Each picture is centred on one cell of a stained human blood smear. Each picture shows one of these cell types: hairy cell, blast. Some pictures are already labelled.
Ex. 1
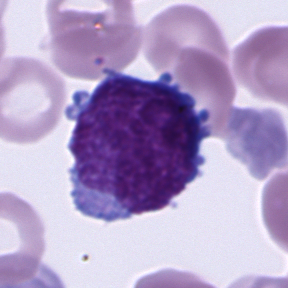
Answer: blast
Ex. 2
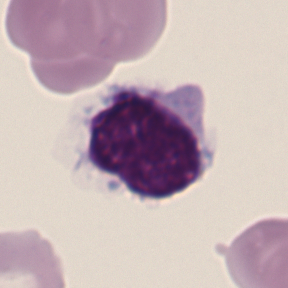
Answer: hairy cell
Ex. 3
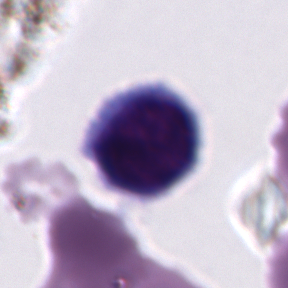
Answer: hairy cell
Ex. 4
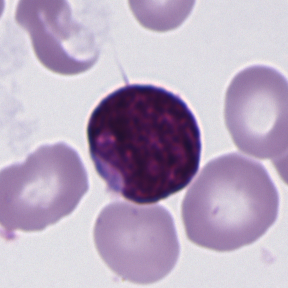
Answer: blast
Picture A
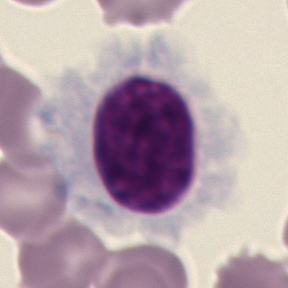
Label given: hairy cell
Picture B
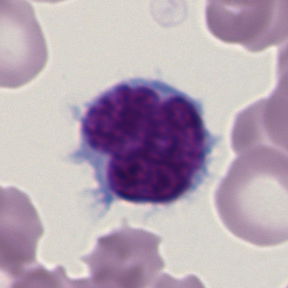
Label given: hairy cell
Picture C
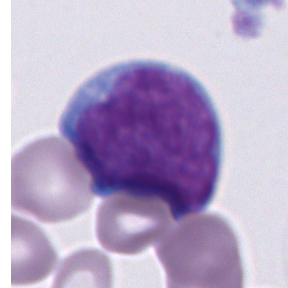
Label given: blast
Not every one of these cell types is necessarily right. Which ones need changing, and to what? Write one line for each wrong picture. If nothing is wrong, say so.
All correct.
